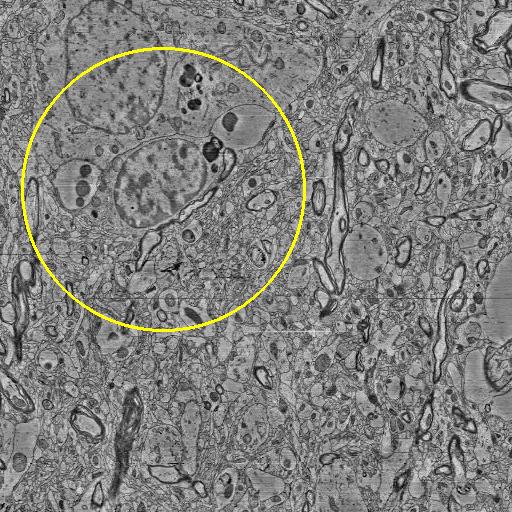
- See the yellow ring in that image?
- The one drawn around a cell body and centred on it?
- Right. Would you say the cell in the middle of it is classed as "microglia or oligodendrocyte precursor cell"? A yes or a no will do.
no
